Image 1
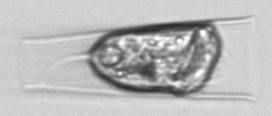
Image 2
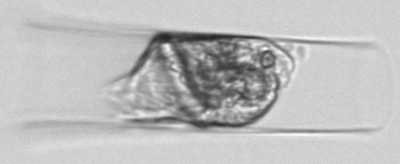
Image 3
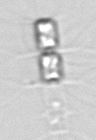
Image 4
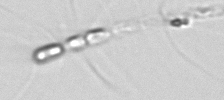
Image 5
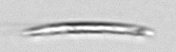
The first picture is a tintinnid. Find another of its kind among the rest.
Picture 2.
